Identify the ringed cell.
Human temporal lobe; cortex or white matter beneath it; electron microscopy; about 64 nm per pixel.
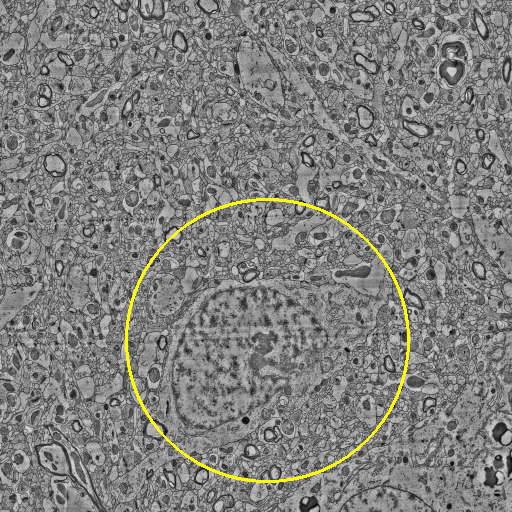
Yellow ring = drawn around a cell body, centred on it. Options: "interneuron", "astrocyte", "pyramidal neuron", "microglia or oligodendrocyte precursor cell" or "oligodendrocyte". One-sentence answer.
What the ring is centred on is an interneuron.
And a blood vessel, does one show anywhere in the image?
No, none appears.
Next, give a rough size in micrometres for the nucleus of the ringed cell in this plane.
Approximately 11 x 8 micrometres in this plane.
